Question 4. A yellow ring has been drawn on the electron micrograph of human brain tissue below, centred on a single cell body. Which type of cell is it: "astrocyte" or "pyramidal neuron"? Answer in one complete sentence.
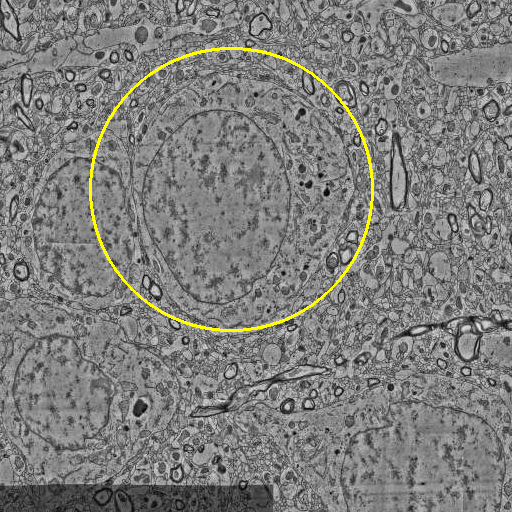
This cell body belongs to a pyramidal neuron.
